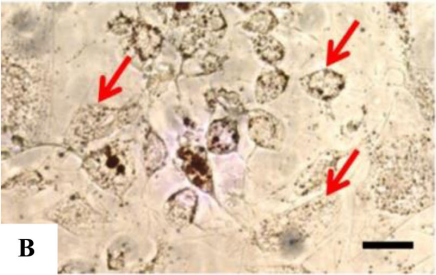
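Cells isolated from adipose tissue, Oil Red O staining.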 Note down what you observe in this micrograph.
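The droplets give the cells a granular, speckled look, and some cells hold darker brownish clumps. The rounded cells lie close together among paler, flatter cells with fine outlines.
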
